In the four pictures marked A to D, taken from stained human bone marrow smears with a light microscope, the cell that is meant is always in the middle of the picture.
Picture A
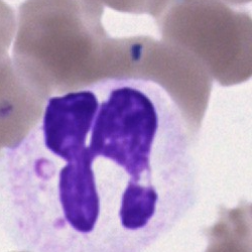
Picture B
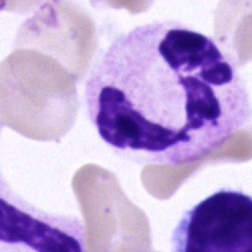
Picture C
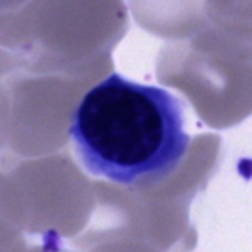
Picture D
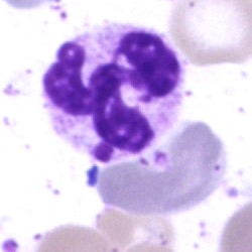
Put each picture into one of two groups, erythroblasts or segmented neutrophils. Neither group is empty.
A: segmented neutrophil
B: segmented neutrophil
C: erythroblast
D: segmented neutrophil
